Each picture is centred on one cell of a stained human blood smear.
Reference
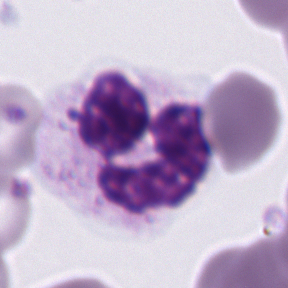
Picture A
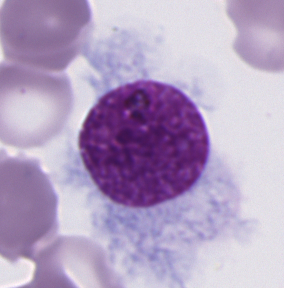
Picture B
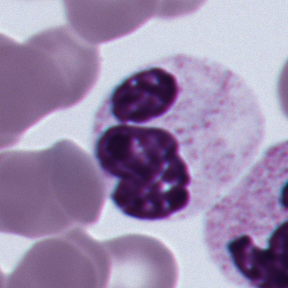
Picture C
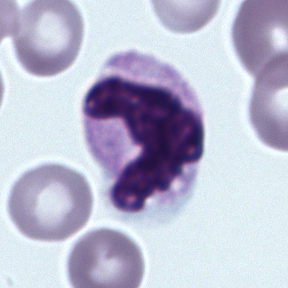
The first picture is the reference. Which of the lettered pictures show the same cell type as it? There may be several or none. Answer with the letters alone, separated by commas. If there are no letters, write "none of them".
B, C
